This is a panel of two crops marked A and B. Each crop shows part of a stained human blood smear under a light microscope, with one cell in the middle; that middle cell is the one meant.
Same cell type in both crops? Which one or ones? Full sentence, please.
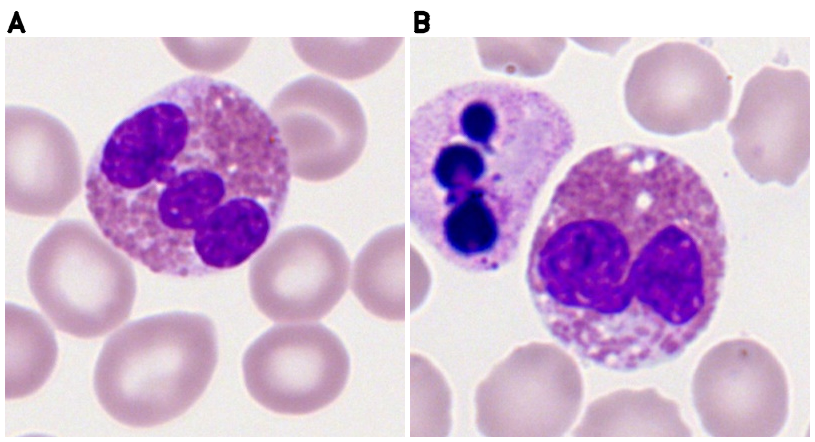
Yes, eosinophils are the central cells in the two crops.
